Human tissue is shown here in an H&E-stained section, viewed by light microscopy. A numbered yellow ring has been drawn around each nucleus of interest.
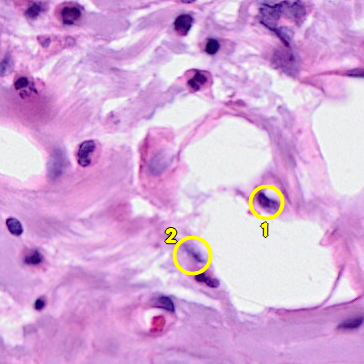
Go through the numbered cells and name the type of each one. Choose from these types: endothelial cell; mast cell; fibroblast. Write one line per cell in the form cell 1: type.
cell 1: endothelial cell
cell 2: fibroblast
